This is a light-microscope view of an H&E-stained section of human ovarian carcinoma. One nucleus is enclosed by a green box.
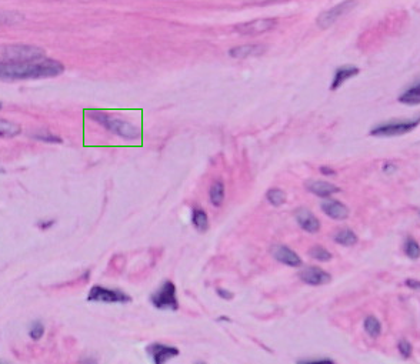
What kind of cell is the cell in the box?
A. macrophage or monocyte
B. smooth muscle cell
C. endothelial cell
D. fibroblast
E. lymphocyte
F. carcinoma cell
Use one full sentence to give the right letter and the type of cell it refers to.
On this slide, the cell in the box is a smooth muscle cell, so option B is right.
